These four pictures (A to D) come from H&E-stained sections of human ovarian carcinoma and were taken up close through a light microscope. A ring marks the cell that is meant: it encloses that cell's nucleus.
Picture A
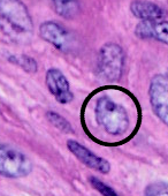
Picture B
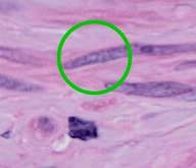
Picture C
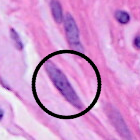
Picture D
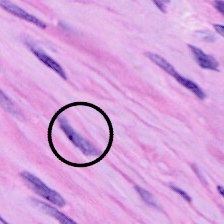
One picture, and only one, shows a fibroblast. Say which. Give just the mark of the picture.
A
